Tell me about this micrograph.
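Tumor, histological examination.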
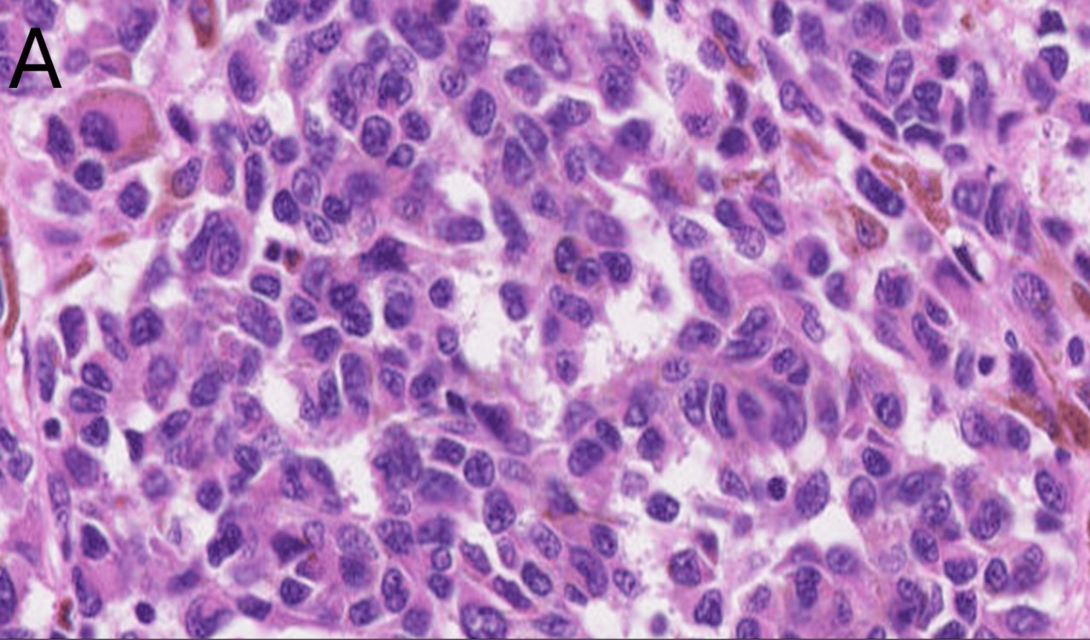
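Densely packed atypical melanocytes form sheets with little intervening stroma, their cells plump and polygonal to somewhat spindled with pink cytoplasm. The nuclei are large, oval to irregular and vary in size and shape, many with open chromatin and visible nucleoli. Scattered brown pigment granules lie in the cytoplasm of some cells and in between them. The pleomorphism and crowding fit a proliferation of malignant pigment-producing cells.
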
